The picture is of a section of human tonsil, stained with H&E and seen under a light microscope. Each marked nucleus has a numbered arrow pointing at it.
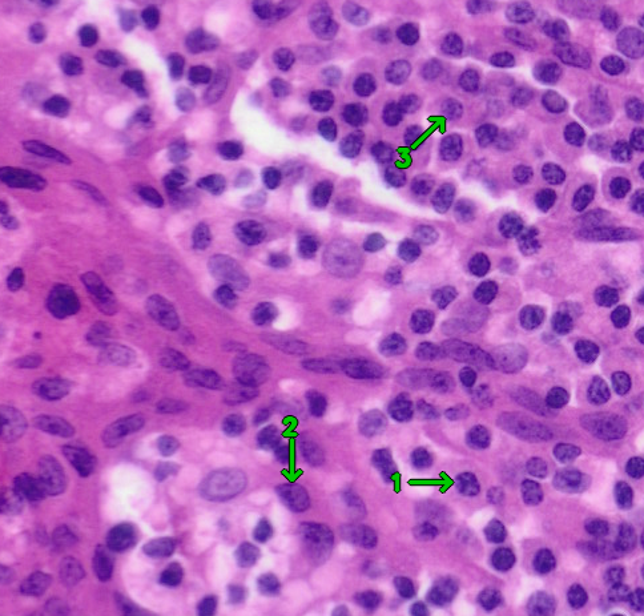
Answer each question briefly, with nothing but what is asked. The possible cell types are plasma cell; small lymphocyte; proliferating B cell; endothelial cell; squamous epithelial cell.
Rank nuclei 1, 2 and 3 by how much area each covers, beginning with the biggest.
2, 1, 3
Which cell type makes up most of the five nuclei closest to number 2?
squamous epithelial cell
